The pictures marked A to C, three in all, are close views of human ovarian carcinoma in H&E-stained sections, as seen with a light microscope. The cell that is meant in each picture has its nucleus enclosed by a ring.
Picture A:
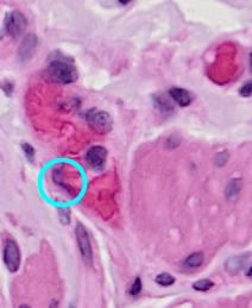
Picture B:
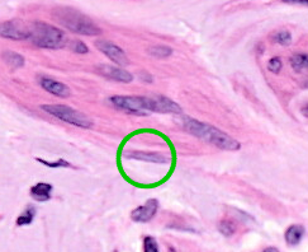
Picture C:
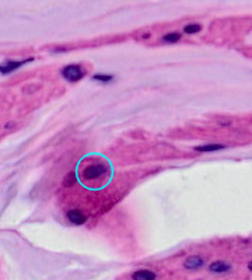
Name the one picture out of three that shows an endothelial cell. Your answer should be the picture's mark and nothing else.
A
